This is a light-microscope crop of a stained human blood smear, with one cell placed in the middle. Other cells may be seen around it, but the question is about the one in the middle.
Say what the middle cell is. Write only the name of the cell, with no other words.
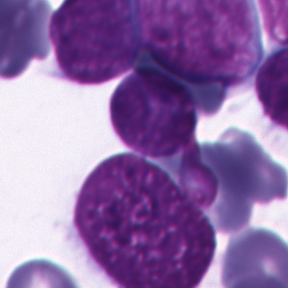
myeloblast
